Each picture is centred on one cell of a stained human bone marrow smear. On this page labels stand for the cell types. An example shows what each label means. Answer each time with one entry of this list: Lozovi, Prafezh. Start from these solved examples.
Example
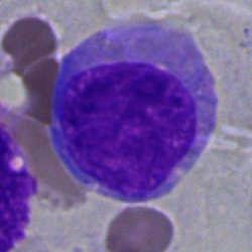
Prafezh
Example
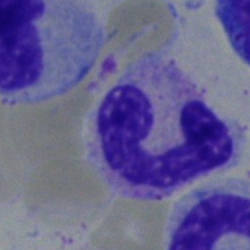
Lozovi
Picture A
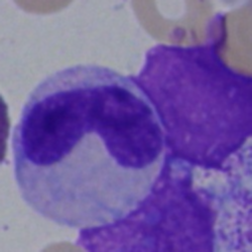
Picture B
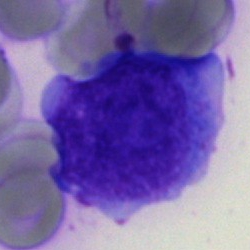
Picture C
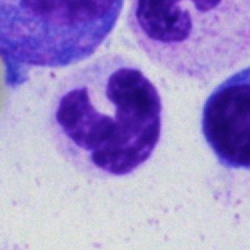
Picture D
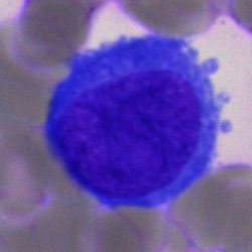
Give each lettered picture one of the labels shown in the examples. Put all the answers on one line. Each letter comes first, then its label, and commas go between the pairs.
A Lozovi, B Prafezh, C Lozovi, D Prafezh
